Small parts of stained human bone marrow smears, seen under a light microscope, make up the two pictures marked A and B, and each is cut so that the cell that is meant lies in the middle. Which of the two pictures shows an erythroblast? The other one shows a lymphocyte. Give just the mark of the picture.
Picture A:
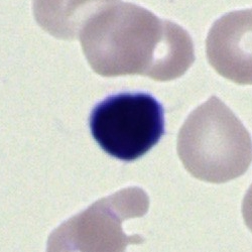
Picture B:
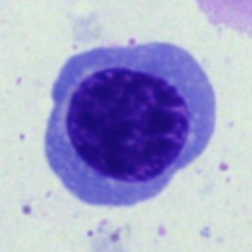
B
